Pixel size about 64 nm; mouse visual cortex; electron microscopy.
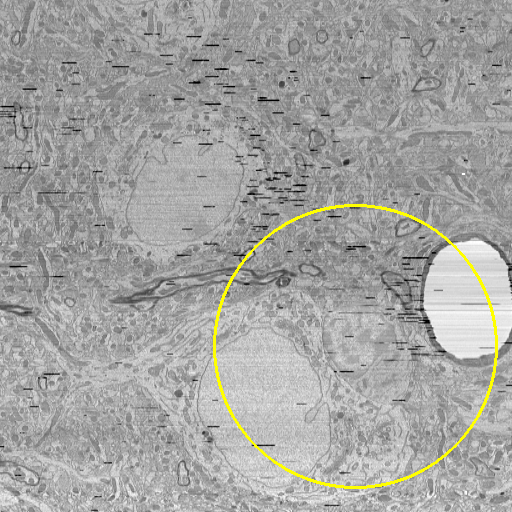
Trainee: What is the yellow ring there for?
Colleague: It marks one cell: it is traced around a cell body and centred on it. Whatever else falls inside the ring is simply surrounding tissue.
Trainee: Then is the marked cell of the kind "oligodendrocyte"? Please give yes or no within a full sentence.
Yes, the marked cell at the centre of the yellow ring is of the kind asked about.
